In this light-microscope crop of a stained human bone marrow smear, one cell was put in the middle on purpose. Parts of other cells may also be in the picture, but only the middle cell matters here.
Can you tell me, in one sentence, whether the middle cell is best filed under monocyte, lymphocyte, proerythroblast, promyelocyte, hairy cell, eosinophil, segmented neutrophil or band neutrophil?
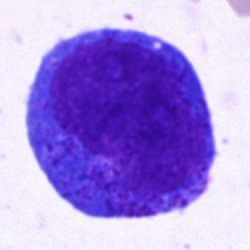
In the centre of this crop there is a promyelocyte.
